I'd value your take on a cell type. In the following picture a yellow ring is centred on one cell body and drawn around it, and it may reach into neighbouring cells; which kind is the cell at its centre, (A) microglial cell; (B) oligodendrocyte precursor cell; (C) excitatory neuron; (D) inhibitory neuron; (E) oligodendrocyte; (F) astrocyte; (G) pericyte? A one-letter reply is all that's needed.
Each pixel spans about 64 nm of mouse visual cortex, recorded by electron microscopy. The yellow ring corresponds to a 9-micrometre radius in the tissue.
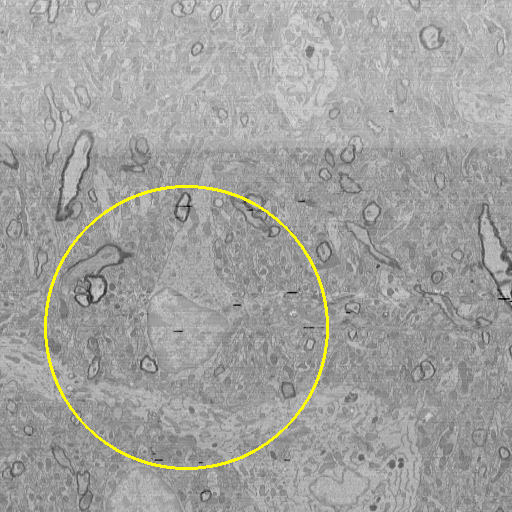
E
